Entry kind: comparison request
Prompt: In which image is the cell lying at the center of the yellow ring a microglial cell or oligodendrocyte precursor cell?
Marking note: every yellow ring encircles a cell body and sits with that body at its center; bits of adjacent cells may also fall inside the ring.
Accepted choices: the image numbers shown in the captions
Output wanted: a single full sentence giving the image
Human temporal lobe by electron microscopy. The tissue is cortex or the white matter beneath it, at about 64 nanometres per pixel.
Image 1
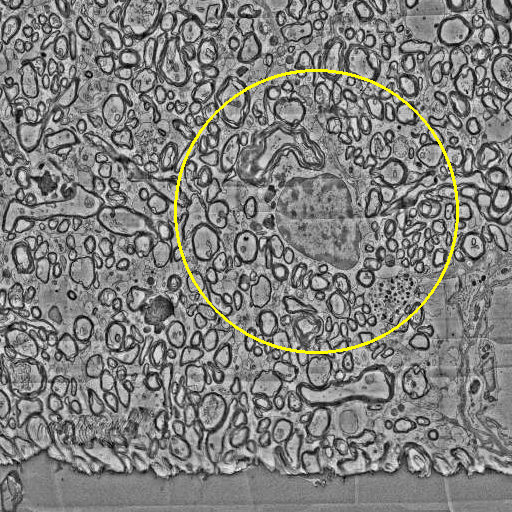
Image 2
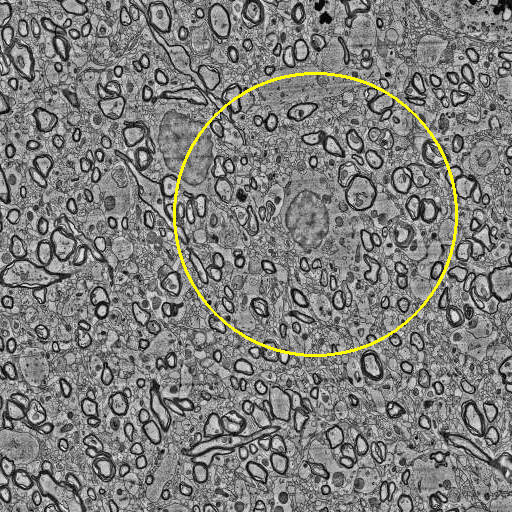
In image 1, the ringed cell at the center matches the prompt.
